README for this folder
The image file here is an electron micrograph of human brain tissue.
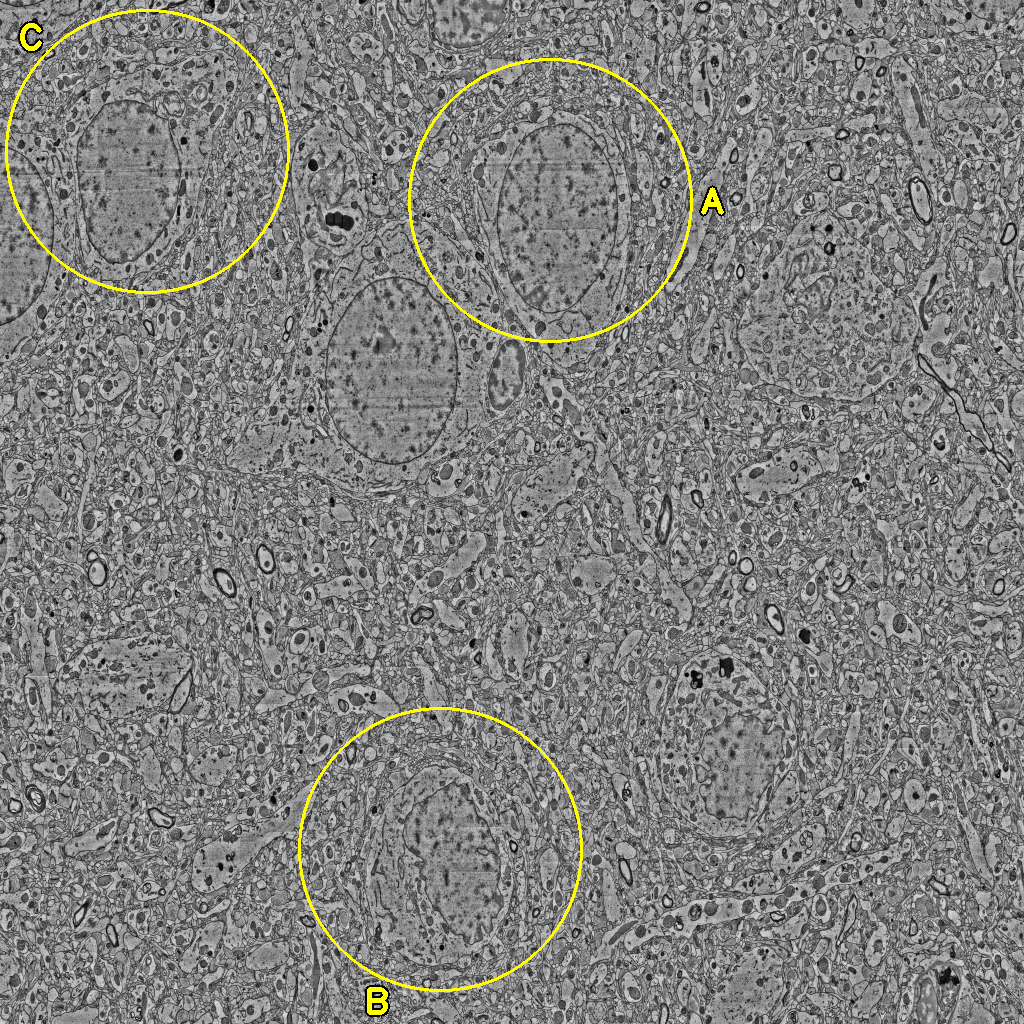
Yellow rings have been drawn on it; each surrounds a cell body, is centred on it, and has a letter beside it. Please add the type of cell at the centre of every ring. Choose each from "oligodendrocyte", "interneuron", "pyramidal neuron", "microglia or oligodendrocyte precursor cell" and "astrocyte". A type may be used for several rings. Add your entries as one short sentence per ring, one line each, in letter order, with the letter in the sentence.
Ring A marks the cell body of a pyramidal neuron.
Ring B marks the cell body of an interneuron.
Ring C marks the cell body of a pyramidal neuron.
